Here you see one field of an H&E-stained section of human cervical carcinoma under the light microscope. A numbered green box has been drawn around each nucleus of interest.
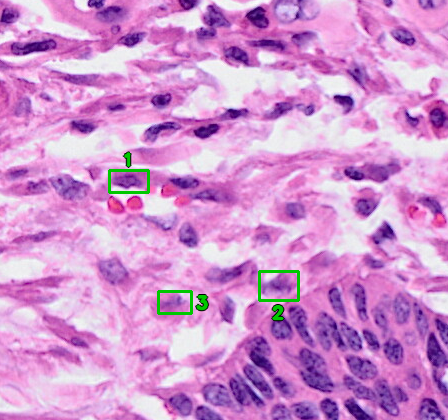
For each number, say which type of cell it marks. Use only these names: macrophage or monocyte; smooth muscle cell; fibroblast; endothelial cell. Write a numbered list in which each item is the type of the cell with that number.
1. endothelial cell
2. fibroblast
3. fibroblast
